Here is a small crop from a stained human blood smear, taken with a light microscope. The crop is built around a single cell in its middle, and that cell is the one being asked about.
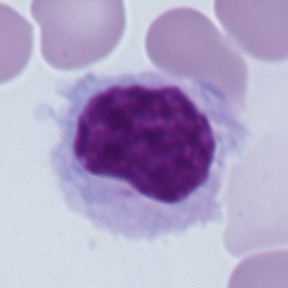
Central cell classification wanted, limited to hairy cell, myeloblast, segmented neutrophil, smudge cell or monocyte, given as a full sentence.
The cell centered in this field of view is a hairy cell.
